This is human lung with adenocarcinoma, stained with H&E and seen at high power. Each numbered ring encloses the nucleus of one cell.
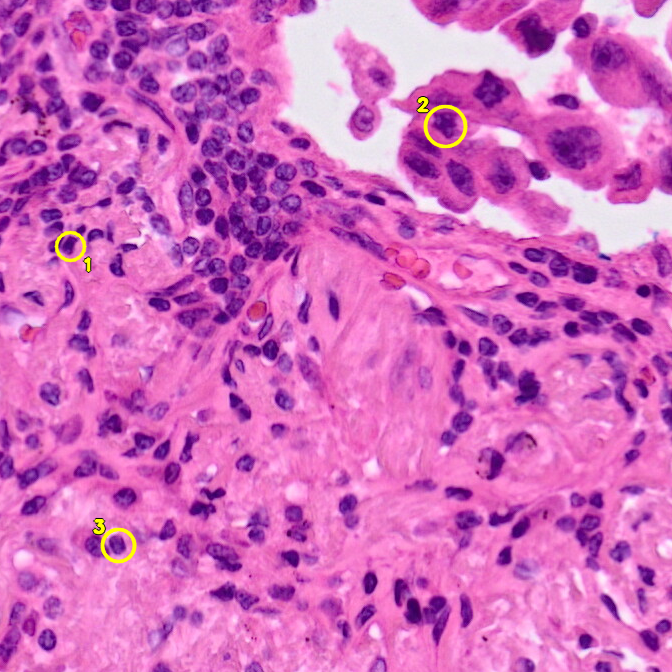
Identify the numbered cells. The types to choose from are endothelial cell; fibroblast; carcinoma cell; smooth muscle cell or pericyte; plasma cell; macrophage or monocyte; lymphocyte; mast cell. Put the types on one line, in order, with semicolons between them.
lymphocyte; carcinoma cell; lymphocyte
